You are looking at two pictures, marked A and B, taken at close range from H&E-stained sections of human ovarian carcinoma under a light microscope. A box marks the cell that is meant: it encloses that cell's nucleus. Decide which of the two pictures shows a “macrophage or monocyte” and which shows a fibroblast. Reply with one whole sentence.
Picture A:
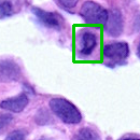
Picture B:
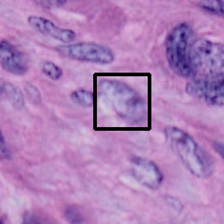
It is picture A that shows a “macrophage or monocyte”, and picture B that shows a fibroblast.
